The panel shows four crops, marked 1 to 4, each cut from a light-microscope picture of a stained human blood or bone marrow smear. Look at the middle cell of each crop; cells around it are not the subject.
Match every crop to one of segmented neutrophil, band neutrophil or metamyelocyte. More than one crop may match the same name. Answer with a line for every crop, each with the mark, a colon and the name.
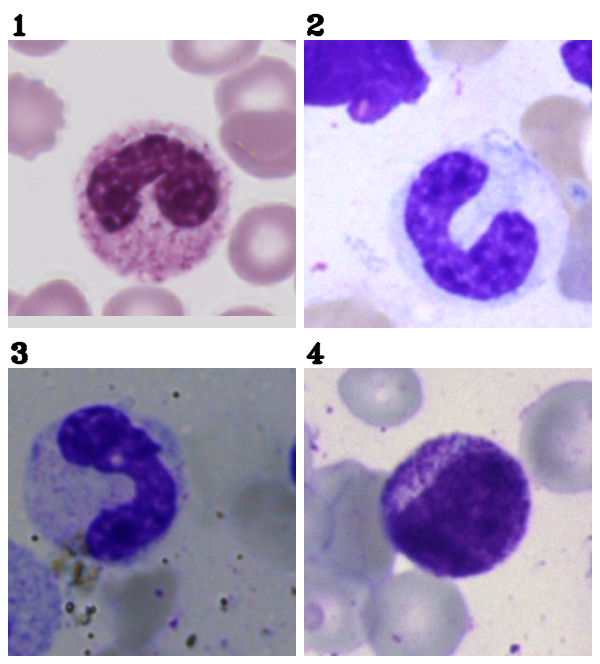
1: band neutrophil
2: band neutrophil
3: segmented neutrophil
4: metamyelocyte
